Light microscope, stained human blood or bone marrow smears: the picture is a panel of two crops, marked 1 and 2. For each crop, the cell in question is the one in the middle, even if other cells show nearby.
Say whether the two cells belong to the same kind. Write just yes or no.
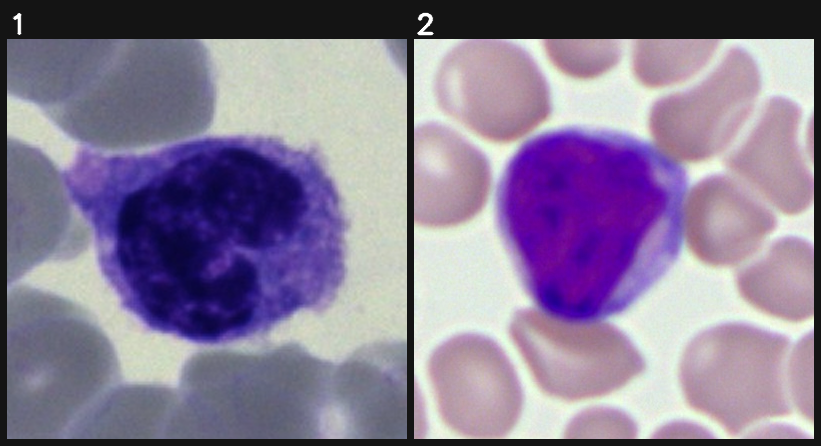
no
